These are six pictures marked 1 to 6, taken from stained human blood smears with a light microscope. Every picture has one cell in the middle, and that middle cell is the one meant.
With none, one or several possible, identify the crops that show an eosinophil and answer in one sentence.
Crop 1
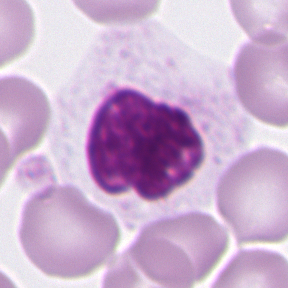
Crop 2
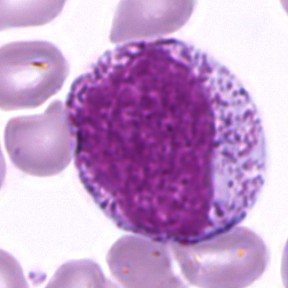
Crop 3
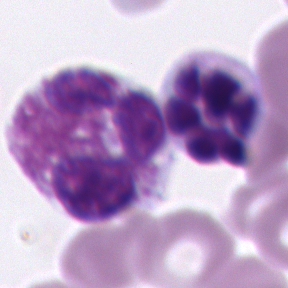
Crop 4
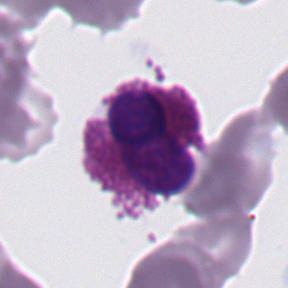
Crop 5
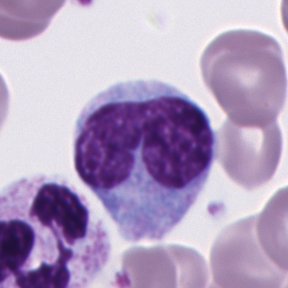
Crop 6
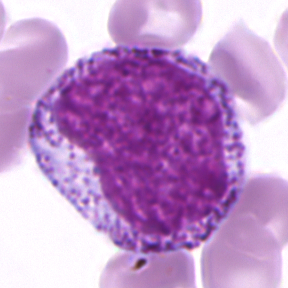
The central cells are eosinophils in crops 3 and 4.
